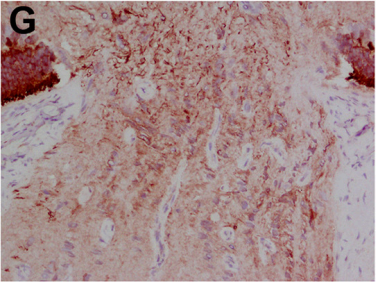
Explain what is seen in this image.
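This is the optic nerve head, the nerve tissue passing between the darkly pigmented edges of the retina seen at the upper left and upper right. Here the nerve tissue is strongly stained brown, in a dense meshwork of fibres and fine processes rather than a pale even tint. Blue nuclei of glial cells are scattered within the brown meshwork, and a few small vessel profiles appear as pale gaps.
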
